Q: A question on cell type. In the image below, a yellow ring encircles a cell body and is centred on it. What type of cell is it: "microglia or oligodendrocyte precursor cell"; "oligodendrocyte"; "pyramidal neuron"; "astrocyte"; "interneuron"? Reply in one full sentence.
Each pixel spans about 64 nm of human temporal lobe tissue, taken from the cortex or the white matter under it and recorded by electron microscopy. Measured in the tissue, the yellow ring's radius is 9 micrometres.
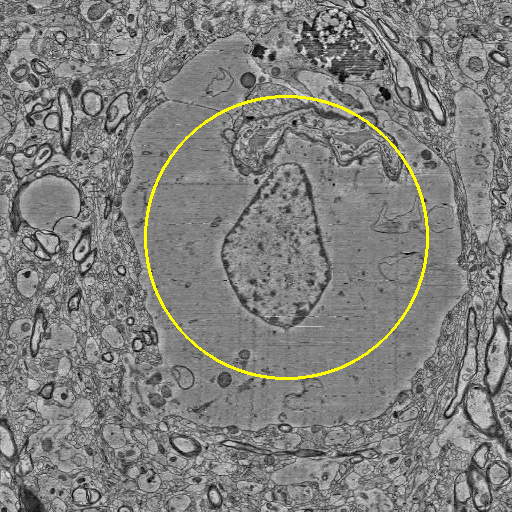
It is an astrocyte whose cell body sits at the centre of the yellow ring in the image.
